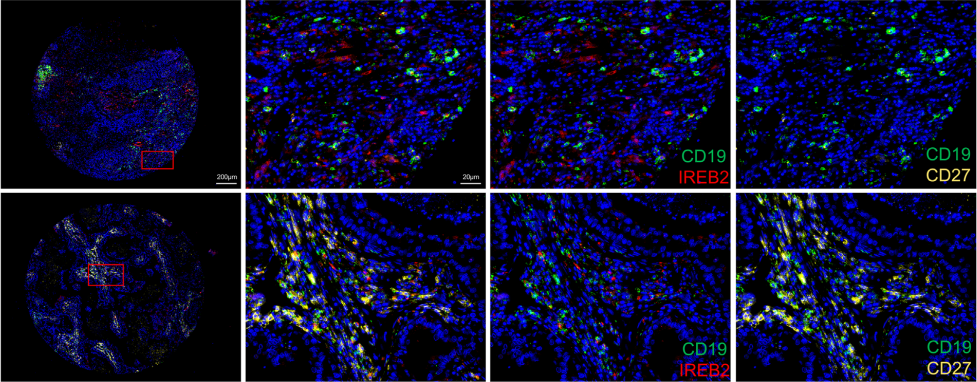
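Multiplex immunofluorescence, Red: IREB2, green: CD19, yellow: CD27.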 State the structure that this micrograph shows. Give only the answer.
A: tissue microarrays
